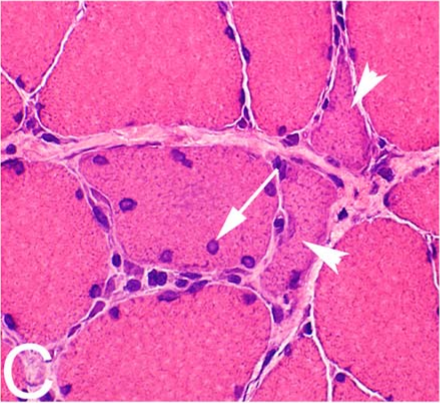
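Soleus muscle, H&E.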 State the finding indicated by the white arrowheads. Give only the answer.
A: Small angular fibers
